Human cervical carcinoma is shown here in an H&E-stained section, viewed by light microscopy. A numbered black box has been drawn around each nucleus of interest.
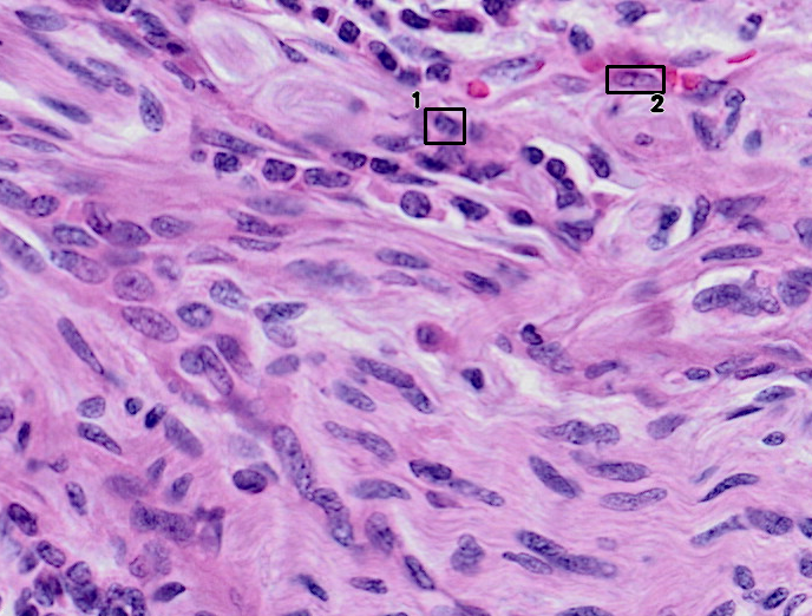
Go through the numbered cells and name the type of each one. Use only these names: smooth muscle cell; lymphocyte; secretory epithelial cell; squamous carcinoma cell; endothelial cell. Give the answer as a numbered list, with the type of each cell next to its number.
1. lymphocyte
2. endothelial cell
